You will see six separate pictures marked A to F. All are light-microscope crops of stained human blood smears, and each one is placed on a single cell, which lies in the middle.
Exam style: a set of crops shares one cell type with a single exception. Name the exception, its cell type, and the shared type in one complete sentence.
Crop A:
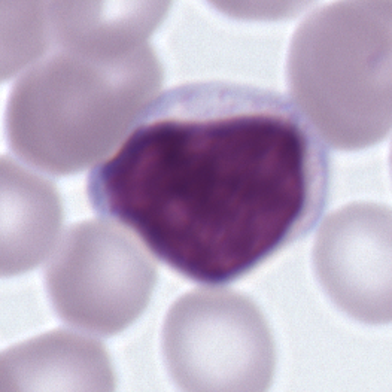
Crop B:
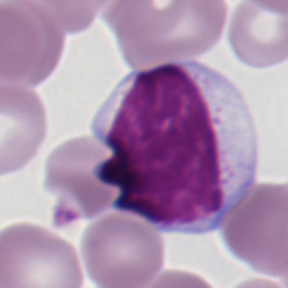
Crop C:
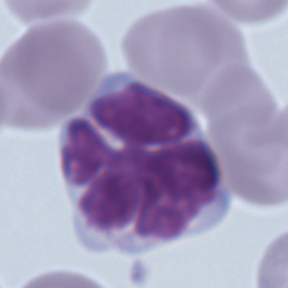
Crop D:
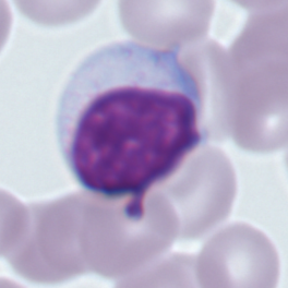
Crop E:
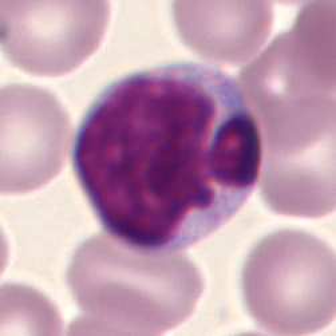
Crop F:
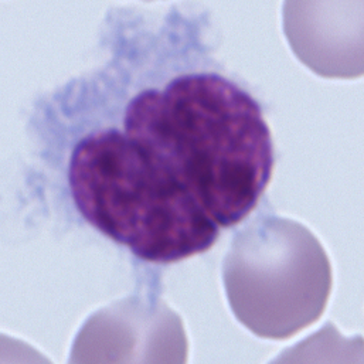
Crop F is a hairy cell, the one exception to the large granular lymphocytes of the other crops.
